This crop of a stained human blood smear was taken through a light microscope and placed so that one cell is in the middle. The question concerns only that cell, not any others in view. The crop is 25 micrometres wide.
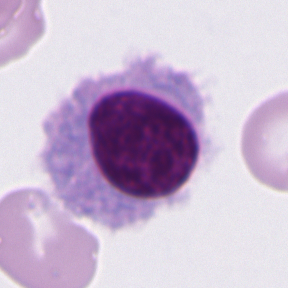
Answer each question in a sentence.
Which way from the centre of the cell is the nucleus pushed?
Seen from the middle of the cell, the nucleus lies toward the right.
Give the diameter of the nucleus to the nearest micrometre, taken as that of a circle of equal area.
It measures about 9 micrometres across.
